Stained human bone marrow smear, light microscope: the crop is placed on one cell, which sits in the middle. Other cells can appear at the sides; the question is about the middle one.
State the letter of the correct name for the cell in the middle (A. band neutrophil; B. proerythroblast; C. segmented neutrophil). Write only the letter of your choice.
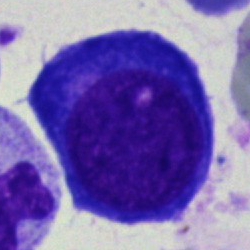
B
